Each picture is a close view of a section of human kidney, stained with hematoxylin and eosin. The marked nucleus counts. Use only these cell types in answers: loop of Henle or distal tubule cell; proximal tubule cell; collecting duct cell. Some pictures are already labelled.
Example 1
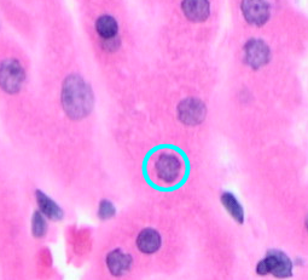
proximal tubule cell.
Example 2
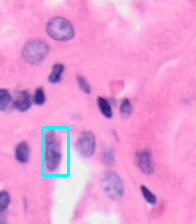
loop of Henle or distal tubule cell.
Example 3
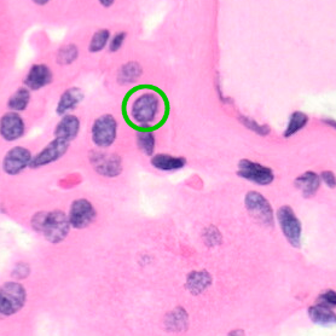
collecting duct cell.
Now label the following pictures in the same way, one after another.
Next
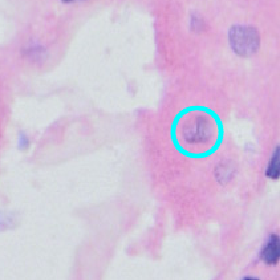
proximal tubule cell.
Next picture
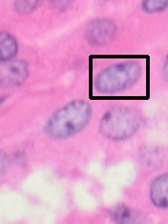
proximal tubule cell.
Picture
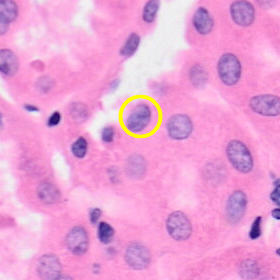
loop of Henle or distal tubule cell.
